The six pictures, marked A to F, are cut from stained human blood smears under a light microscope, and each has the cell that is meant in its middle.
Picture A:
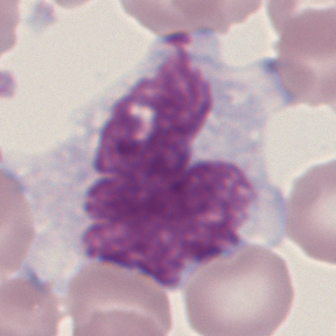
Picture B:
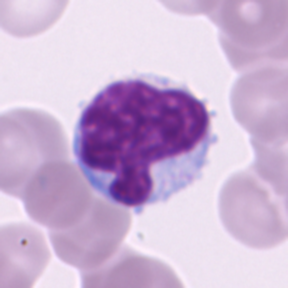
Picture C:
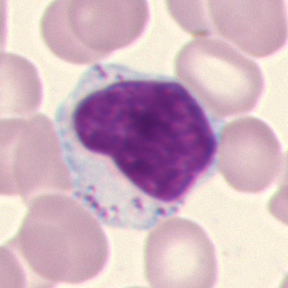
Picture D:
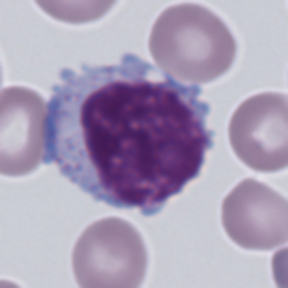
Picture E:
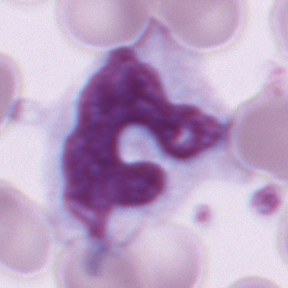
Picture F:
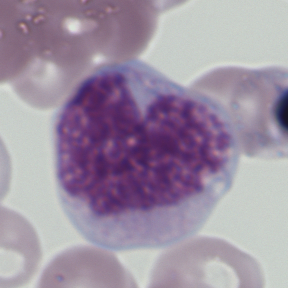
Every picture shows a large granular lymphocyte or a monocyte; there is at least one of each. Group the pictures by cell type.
A: monocyte
B: large granular lymphocyte
C: large granular lymphocyte
D: large granular lymphocyte
E: monocyte
F: monocyte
